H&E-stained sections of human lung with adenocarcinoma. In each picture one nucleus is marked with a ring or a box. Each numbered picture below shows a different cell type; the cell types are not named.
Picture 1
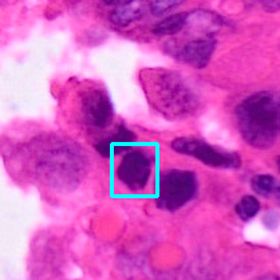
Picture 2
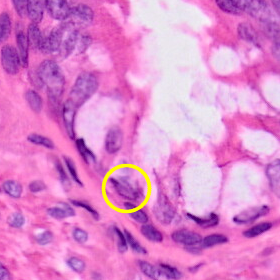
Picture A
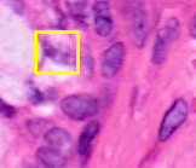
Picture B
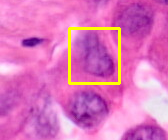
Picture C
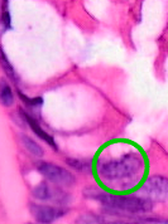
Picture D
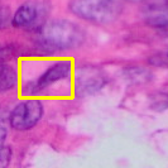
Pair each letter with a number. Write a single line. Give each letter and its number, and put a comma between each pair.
A 2, B 1, C 2, D 2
